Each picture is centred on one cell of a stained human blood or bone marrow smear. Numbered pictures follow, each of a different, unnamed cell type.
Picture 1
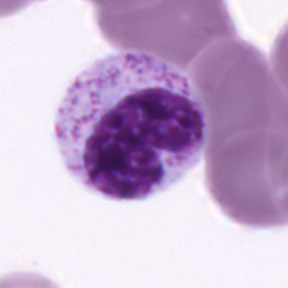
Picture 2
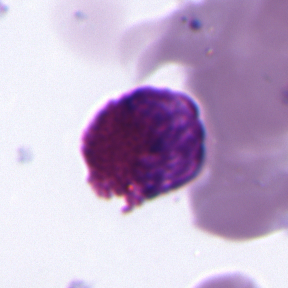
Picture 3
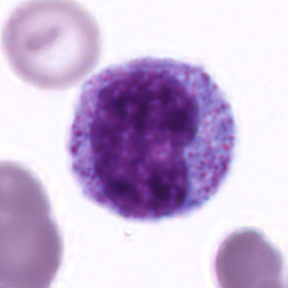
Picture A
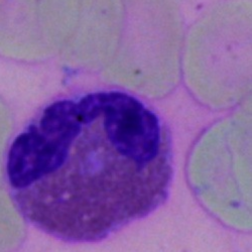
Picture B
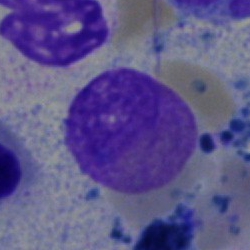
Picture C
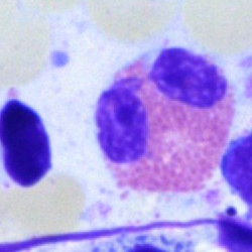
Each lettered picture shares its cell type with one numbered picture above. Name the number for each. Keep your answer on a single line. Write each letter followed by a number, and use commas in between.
A 2, B 2, C 2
